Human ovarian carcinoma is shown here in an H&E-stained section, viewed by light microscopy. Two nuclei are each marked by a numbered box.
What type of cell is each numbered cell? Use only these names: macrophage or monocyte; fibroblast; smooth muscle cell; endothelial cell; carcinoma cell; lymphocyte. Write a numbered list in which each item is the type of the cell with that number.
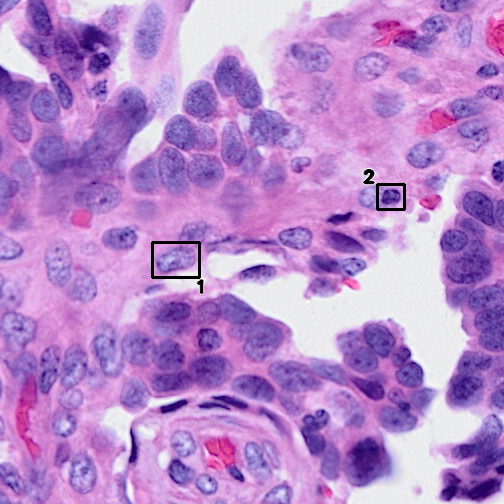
1. fibroblast
2. lymphocyte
